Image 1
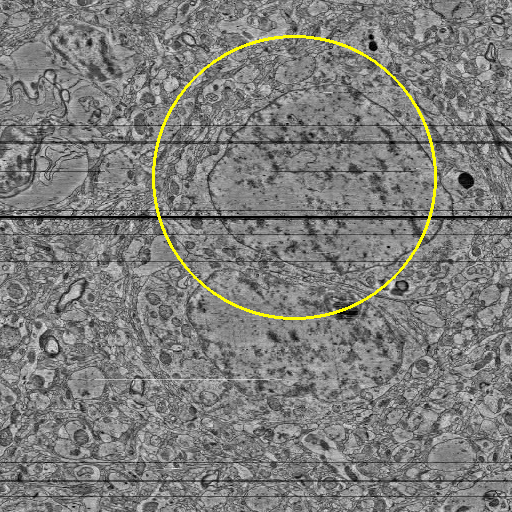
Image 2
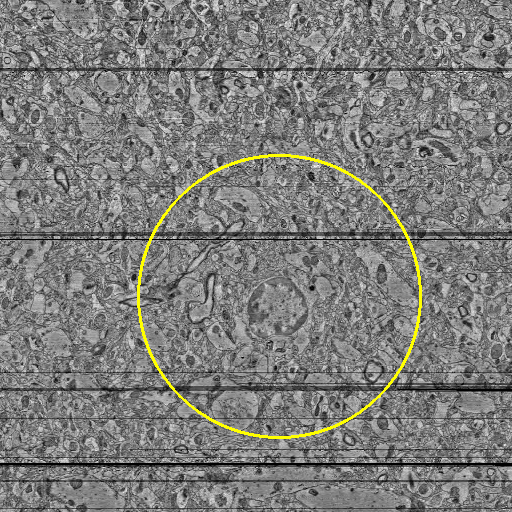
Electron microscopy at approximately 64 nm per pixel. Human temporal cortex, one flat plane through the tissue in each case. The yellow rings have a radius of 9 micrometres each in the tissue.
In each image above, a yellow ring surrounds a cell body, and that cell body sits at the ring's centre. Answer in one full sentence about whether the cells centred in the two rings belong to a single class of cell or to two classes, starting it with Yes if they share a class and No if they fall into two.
No, the cells centred in the two yellow rings belong to two classes of cell.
